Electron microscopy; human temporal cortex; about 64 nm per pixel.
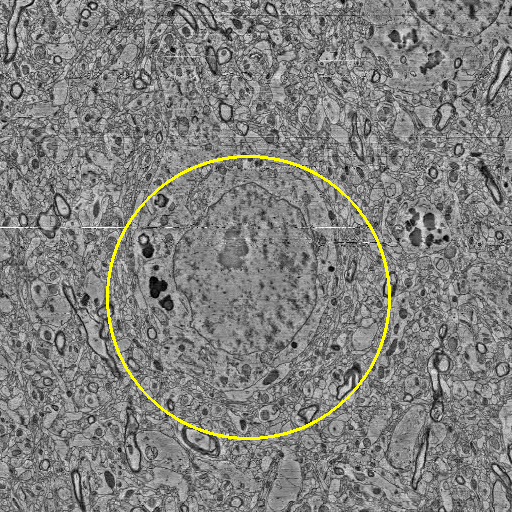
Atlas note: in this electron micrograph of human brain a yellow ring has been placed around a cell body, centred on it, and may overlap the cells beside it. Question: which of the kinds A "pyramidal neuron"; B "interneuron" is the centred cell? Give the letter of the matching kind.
A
